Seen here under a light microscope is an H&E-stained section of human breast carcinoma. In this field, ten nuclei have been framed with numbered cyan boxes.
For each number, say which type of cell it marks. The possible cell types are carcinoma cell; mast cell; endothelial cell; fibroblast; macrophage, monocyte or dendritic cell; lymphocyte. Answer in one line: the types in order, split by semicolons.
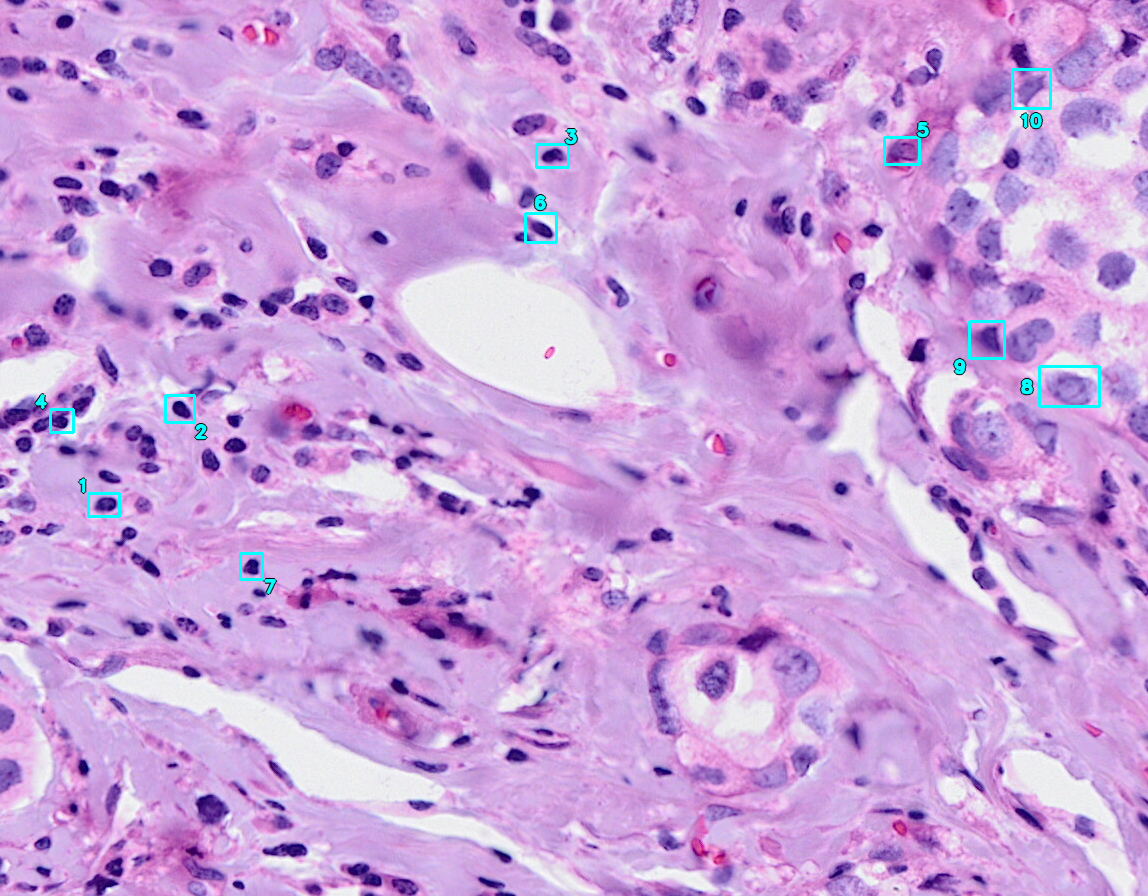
lymphocyte; lymphocyte; lymphocyte; lymphocyte; endothelial cell; lymphocyte; lymphocyte; carcinoma cell; carcinoma cell; carcinoma cell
